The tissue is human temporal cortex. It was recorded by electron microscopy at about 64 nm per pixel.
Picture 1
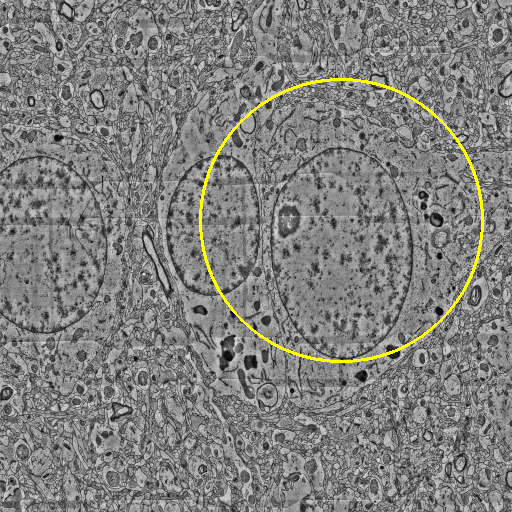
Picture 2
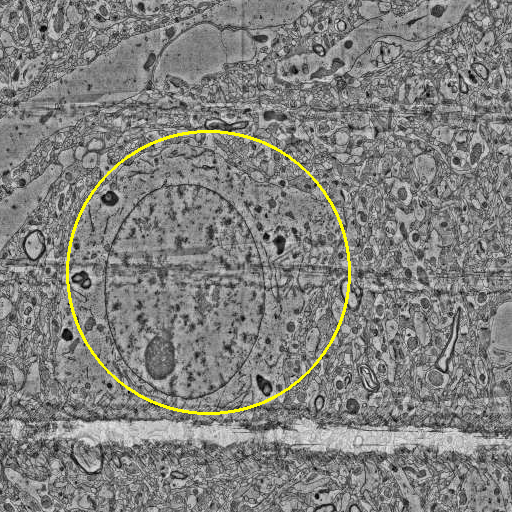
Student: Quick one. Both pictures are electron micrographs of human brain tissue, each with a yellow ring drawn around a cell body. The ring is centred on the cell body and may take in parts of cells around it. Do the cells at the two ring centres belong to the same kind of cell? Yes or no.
yes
